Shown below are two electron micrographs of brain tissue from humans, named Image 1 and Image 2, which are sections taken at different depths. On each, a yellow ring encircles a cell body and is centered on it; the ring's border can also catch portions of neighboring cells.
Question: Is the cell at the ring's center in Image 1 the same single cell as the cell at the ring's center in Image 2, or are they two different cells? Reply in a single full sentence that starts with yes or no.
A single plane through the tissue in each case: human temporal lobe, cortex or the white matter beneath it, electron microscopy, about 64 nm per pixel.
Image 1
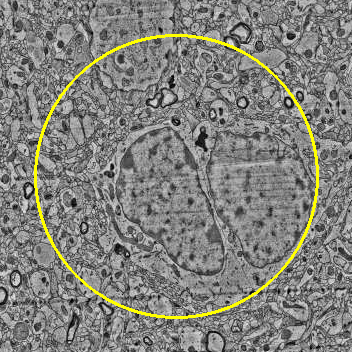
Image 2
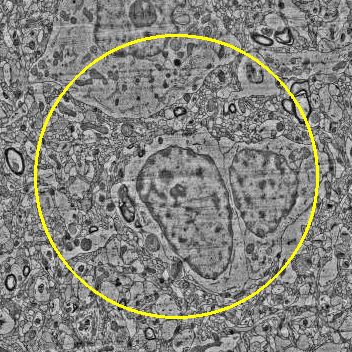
Yes, the two yellow circles hold the same cell.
